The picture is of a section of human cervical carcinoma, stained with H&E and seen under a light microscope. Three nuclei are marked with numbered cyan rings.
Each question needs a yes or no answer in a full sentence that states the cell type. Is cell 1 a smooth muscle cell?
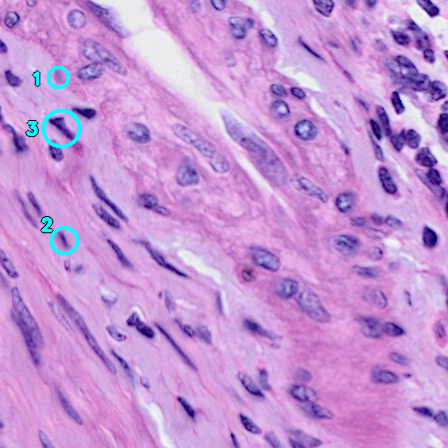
Yes, the cell that the number 1 labels is a smooth muscle cell.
